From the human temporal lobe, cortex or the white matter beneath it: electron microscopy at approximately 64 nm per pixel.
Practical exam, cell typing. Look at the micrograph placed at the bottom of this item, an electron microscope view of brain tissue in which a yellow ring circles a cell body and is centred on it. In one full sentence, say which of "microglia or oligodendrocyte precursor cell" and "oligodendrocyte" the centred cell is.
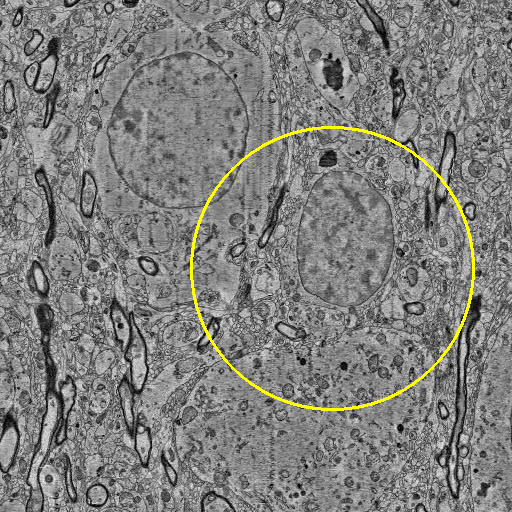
Given the options, an oligodendrocyte fits the cell whose body the yellow ring is centred on.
